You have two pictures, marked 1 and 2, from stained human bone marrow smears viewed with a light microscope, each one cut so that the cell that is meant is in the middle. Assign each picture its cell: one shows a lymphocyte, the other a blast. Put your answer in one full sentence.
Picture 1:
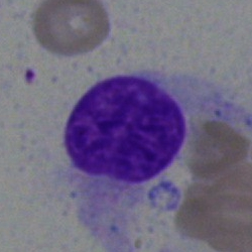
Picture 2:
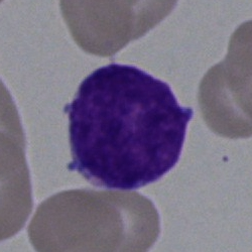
Picture 1 shows a lymphocyte and picture 2 shows a blast.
